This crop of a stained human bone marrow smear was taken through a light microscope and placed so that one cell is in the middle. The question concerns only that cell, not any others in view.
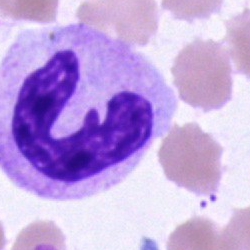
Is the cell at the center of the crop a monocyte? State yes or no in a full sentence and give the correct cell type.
No, the central cell is counted as a band neutrophil instead of a monocyte.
